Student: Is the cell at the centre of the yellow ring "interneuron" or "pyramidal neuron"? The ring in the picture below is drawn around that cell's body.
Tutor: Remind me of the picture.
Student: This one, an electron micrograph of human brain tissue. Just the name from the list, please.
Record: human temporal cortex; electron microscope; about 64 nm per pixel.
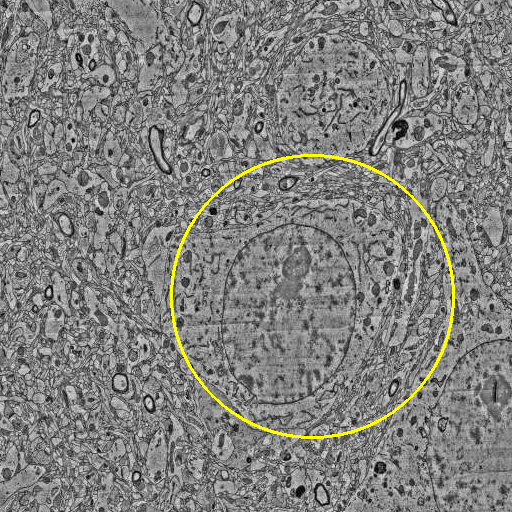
pyramidal neuron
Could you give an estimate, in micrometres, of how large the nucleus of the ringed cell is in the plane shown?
Approximately 12 micrometres long and 9 micrometres wide, in this plane.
